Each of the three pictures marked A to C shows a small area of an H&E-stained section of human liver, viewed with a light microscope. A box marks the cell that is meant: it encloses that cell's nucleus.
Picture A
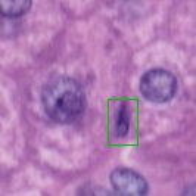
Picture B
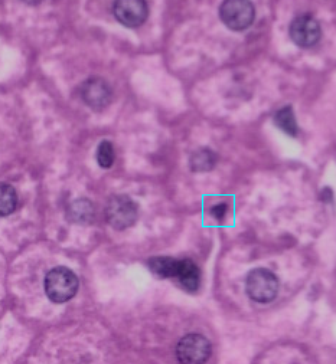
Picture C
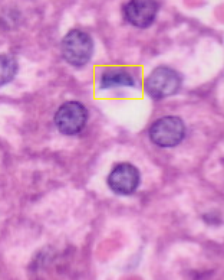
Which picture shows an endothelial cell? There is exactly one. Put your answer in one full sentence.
The cell in picture C is the endothelial cell.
